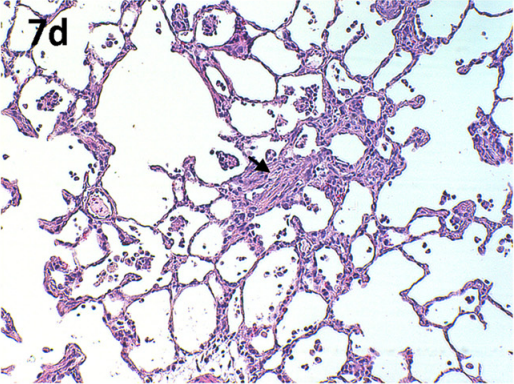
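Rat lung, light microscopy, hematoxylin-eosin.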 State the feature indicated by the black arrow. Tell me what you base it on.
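Buds of granulation tissue. The arrow points to a pink band of elongated spindle-shaped cells within the alveolar region. The surrounding alveolar walls are thin and partly open.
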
